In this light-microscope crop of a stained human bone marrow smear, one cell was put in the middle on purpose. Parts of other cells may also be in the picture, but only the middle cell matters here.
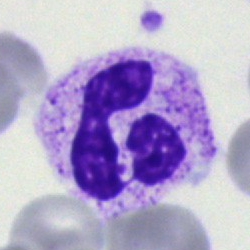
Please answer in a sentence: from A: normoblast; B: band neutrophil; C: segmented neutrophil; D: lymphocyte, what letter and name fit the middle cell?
The correct option is C, as the central cell is a segmented neutrophil.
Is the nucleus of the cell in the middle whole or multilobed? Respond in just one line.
The key feature is a nucleus with multiple lobes.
